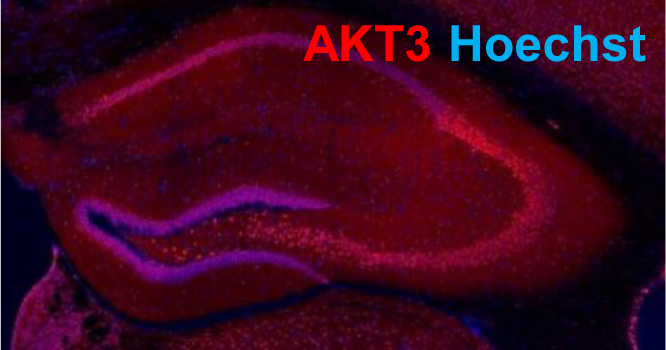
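A section of hippocampus shows the curved band of pyramidal cell bodies and the V-shaped granule cell layer of the dentate gyrus, both more intensely red than the surrounding layers. The region enclosed by the dentate blades and the adjoining part of the pyramidal band are especially bright, with densely packed speckled cells, while the granule layer appears purple where blue nuclear staining overlaps the red.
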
